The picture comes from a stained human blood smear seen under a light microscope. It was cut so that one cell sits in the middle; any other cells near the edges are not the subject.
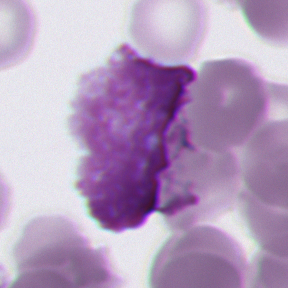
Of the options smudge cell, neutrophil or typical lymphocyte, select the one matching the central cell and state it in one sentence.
Classification of the middle cell gives a smudge cell.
